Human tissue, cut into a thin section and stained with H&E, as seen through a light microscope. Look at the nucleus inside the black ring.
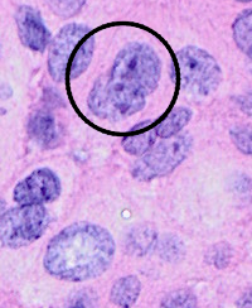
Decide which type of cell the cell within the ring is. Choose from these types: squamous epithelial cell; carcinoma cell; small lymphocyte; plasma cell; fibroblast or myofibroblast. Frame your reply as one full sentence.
Labelled by cell type, the cell within the ring is a carcinoma cell.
